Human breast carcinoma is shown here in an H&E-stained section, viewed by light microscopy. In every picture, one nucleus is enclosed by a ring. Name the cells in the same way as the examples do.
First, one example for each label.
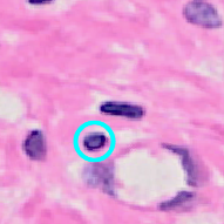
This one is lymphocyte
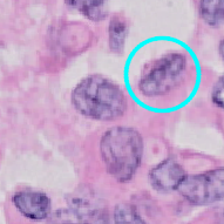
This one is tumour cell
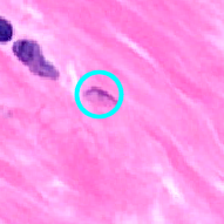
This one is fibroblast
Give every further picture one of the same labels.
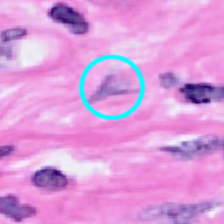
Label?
fibroblast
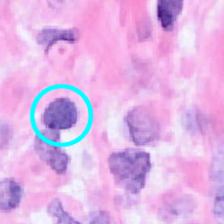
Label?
tumour cell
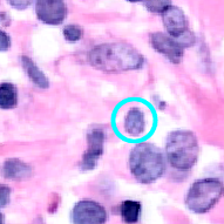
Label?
lymphocyte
